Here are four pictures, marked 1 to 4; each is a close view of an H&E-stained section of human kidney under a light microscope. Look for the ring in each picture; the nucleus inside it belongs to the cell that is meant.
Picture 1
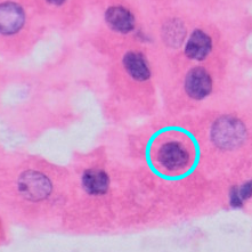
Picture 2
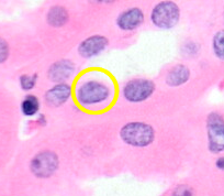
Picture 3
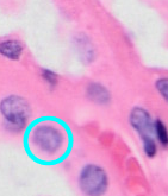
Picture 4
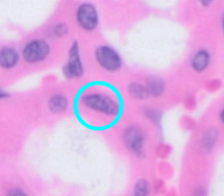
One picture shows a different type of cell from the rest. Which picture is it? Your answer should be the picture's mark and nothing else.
1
